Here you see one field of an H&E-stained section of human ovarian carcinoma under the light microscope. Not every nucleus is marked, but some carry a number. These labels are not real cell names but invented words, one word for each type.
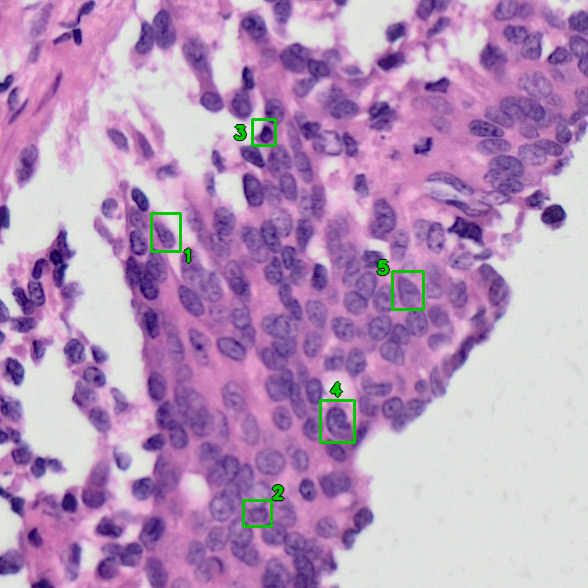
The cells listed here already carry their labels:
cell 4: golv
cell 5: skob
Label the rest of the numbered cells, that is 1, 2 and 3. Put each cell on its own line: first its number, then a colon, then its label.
1: golv
2: skob
3: skob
